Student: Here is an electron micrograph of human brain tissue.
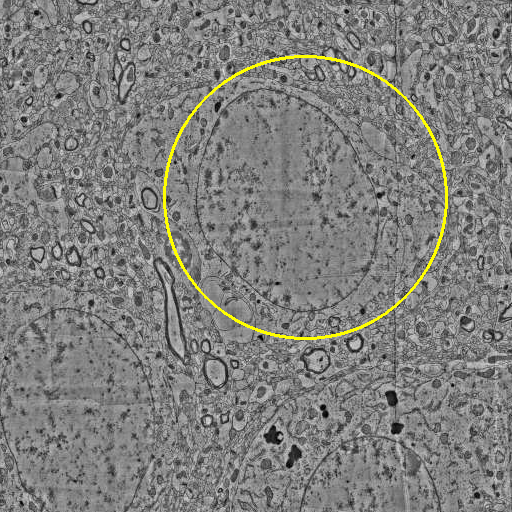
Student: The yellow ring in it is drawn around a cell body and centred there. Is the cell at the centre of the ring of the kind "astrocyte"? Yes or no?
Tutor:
no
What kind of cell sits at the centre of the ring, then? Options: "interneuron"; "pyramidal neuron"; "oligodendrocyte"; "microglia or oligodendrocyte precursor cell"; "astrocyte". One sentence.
That cell in the ring is a pyramidal neuron instead.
